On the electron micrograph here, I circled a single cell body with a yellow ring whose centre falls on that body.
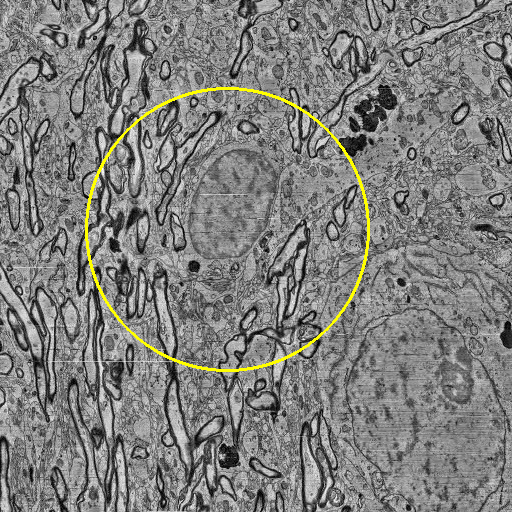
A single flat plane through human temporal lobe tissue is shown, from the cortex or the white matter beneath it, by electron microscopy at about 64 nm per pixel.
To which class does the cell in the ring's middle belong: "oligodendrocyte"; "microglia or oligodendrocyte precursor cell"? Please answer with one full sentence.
In this picture, the cell body circled at the ring's centre belongs to an oligodendrocyte.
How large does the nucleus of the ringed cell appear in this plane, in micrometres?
The nucleus of the ringed cell is approximately 7 by 5 micrometres in this plane.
